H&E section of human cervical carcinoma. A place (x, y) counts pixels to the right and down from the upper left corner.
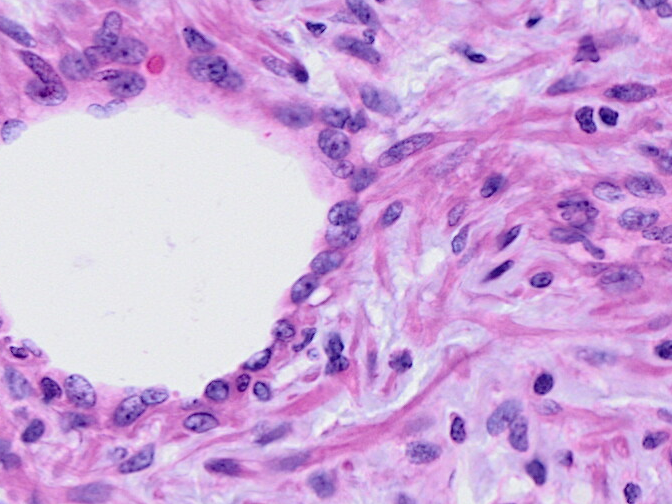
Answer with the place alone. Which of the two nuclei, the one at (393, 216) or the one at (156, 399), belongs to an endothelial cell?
(156, 399)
